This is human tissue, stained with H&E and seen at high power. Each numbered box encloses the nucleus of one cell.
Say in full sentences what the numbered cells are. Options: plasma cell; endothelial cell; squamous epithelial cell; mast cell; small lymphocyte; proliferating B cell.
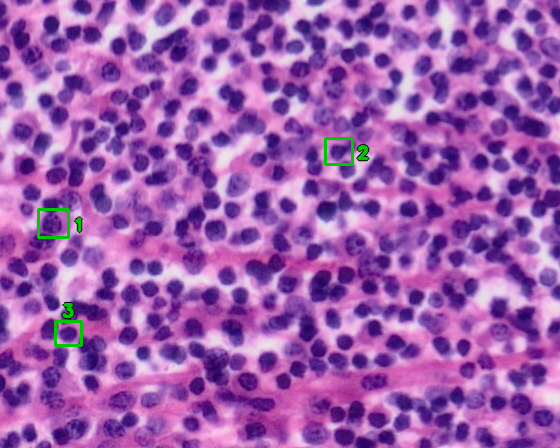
Cell 1 is a plasma cell, cell 2 is a small lymphocyte and cell 3 is a small lymphocyte.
